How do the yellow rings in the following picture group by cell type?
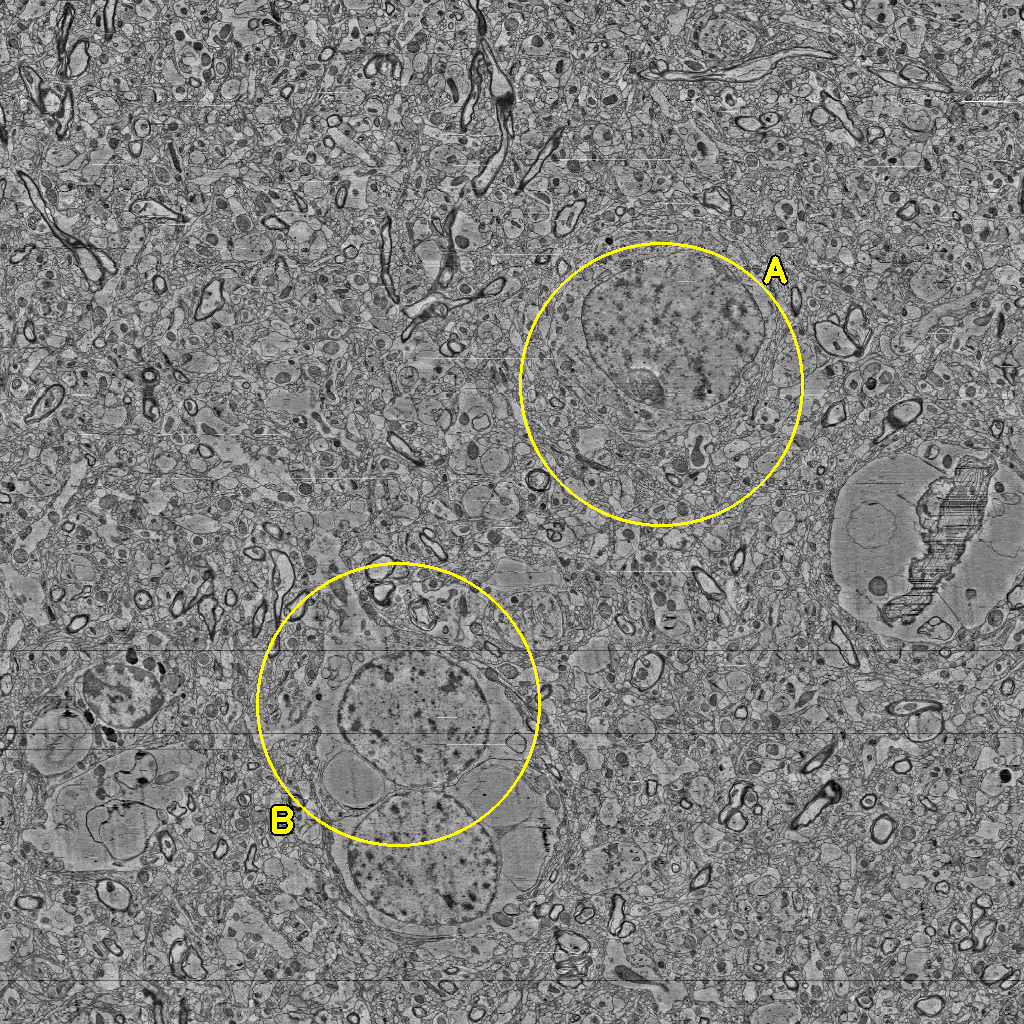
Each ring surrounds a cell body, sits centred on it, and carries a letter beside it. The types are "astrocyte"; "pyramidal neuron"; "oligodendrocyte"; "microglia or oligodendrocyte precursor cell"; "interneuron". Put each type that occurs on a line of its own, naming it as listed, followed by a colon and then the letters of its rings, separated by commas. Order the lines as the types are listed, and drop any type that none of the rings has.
astrocyte: B
interneuron: A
